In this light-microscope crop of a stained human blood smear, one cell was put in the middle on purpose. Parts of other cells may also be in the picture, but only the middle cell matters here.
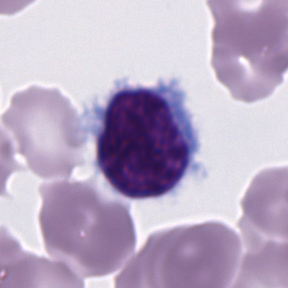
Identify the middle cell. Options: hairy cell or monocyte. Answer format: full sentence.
By classification, the middle cell of this crop is a hairy cell.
